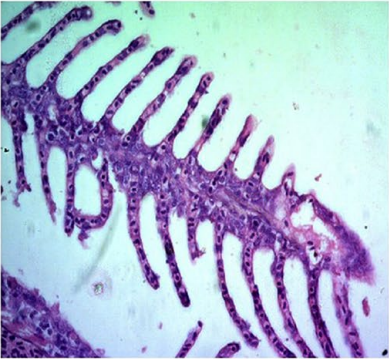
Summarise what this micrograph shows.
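A gill filament runs diagonally across the field, with slender secondary lamellae projecting at regular intervals from both sides like the teeth of a comb. Each lamella is thin and lined by flattened cells with purple nuclei and pink cytoplasm, separated from its neighbours by clear spaces. The core of the filament is denser, packed with cells whose purple nuclei crowd along its length.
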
